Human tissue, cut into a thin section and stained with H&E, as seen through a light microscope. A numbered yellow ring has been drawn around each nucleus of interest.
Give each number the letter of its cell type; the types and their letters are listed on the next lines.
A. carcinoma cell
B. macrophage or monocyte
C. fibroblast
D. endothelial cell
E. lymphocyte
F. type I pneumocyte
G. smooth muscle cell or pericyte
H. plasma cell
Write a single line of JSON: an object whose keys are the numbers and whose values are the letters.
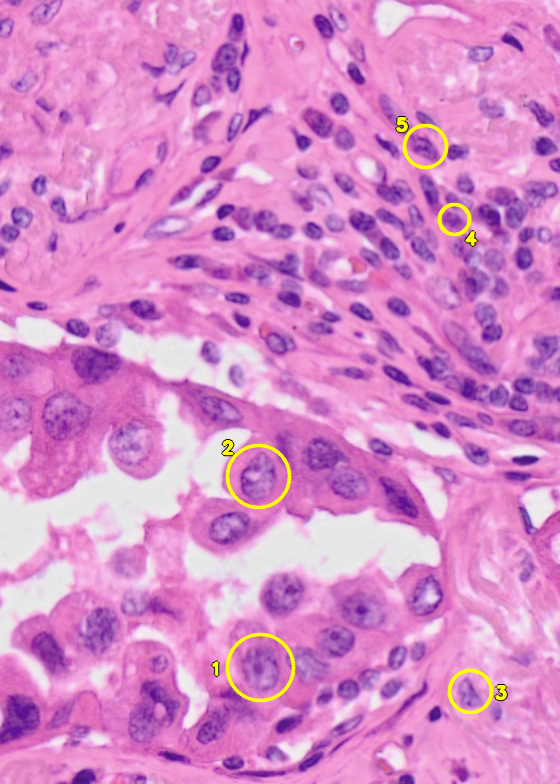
{"1": "A", "2": "A", "3": "C", "4": "H", "5": "H"}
